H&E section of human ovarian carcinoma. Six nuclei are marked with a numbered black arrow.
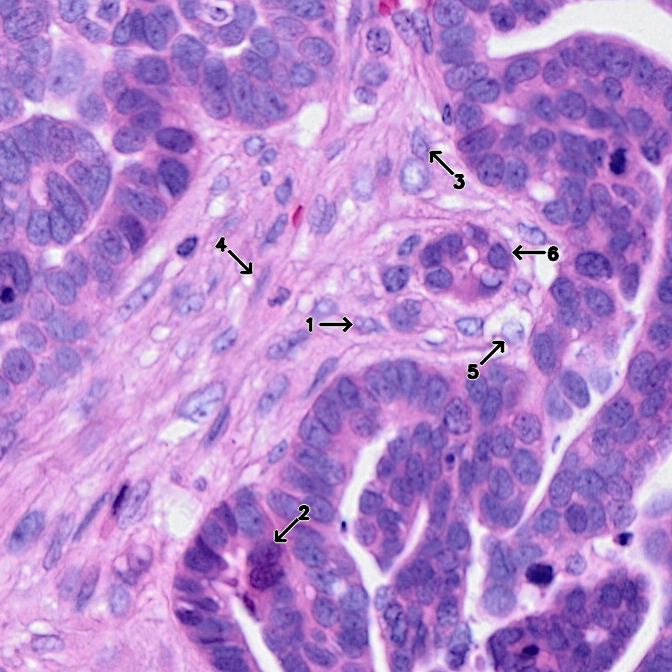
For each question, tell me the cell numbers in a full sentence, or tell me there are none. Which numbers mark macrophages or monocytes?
Each numbered cell falls outside the category of macrophages or monocytes.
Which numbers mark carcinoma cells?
The cells marked with the numbers 2 and 6 are carcinoma cells.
